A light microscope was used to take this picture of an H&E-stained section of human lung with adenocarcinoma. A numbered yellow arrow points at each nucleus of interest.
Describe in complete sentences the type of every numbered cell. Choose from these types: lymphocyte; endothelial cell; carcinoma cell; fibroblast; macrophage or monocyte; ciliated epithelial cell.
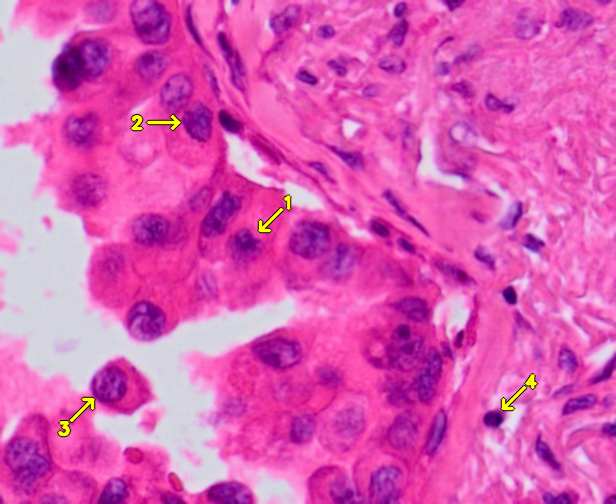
Cells 1, 2 and 3 are carcinoma cells. Cell 4 is a lymphocyte.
